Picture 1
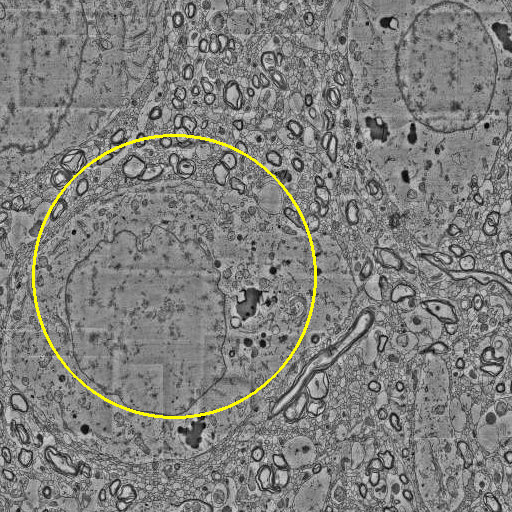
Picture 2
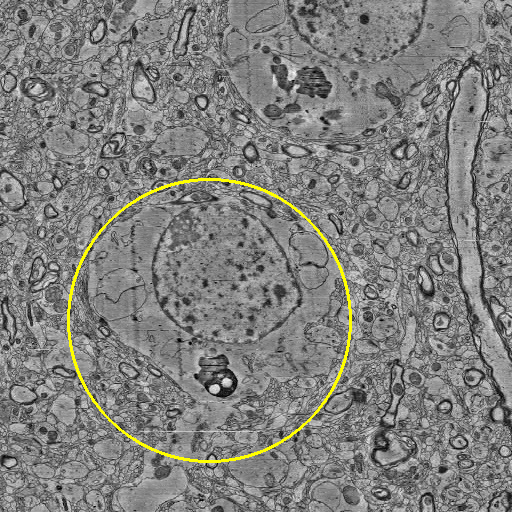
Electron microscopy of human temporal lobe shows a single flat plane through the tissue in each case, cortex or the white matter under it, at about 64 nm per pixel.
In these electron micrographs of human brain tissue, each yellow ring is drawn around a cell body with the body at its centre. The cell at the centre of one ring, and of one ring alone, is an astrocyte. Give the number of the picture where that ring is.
2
